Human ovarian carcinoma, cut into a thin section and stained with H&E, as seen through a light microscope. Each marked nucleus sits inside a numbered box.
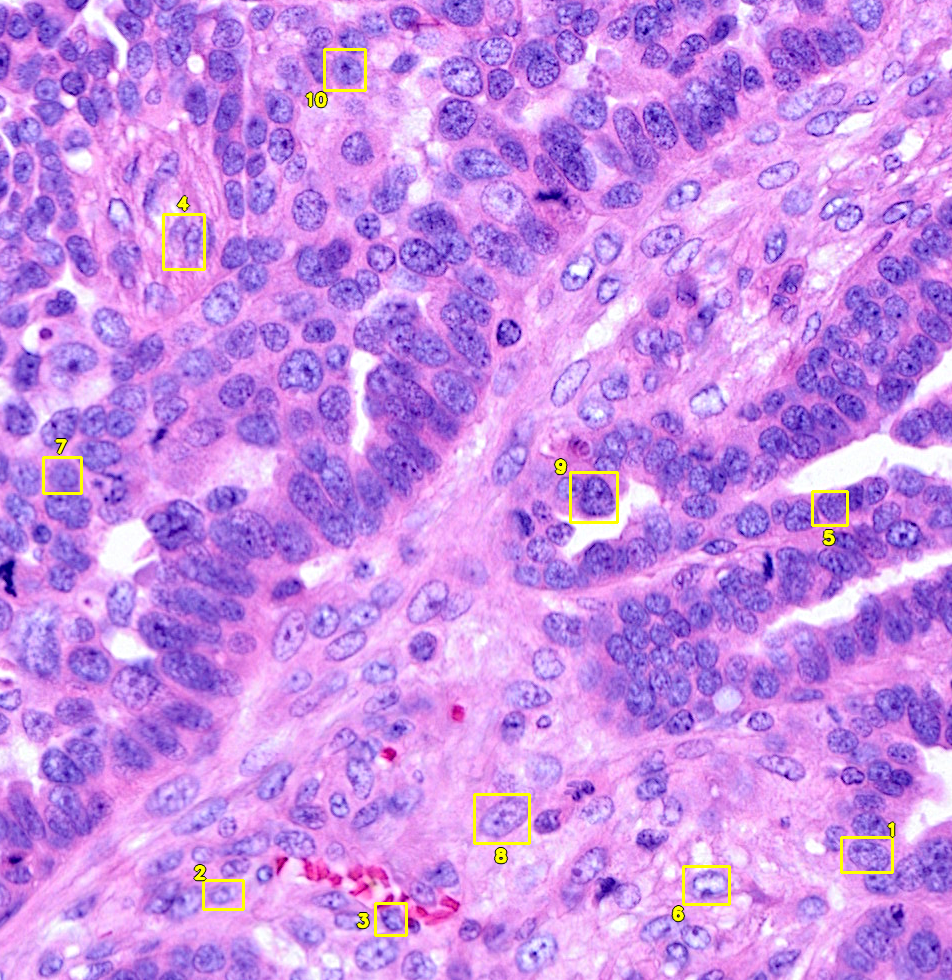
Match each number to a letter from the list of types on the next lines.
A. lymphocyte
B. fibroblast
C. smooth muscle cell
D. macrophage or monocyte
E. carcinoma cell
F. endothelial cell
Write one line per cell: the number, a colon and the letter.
1: E
2: B
3: F
4: B
5: E
6: B
7: E
8: B
9: E
10: E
